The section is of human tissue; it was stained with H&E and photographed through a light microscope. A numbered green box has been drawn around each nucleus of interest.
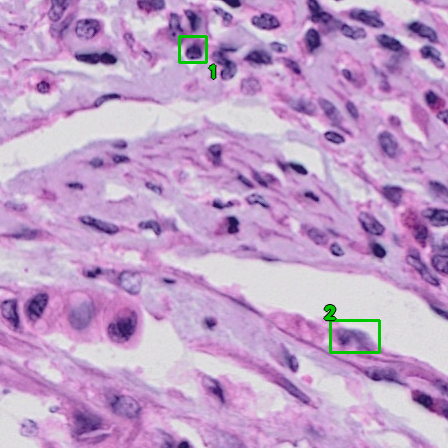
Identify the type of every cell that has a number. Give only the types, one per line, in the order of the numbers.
lymphocyte
endothelial cell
